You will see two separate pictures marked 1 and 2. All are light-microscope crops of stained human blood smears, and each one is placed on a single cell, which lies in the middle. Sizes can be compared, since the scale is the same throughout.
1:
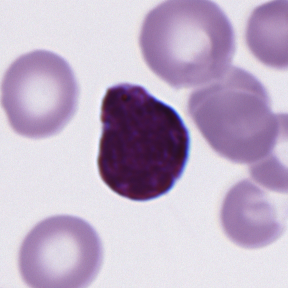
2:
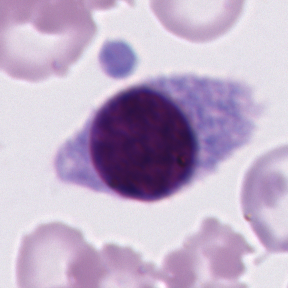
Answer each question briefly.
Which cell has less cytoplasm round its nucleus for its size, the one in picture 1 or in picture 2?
1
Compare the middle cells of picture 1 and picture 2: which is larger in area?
2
